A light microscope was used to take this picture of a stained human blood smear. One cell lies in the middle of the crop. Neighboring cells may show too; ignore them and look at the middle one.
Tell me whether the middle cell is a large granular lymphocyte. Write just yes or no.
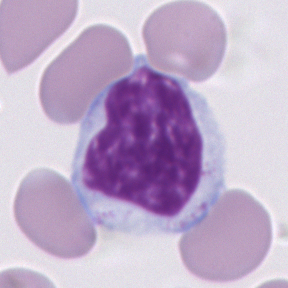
yes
